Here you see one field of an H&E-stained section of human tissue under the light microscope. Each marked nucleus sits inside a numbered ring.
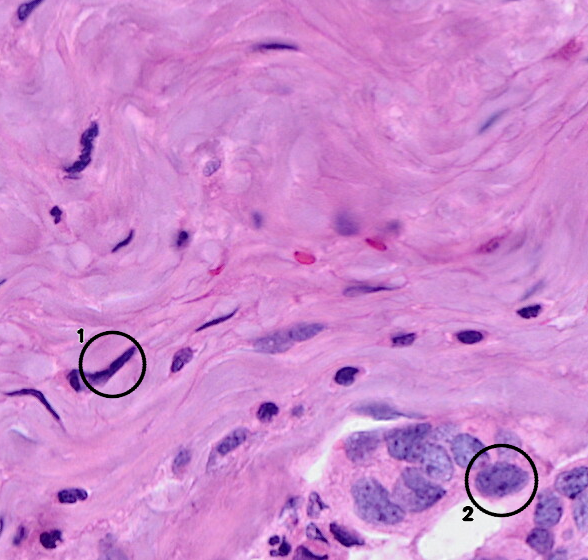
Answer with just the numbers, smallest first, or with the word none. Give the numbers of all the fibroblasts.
1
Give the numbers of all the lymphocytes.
none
